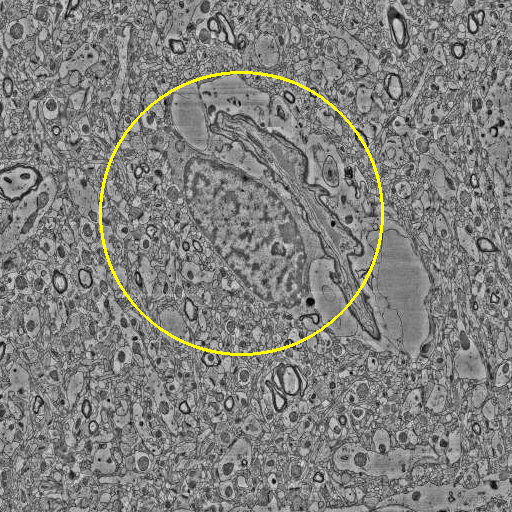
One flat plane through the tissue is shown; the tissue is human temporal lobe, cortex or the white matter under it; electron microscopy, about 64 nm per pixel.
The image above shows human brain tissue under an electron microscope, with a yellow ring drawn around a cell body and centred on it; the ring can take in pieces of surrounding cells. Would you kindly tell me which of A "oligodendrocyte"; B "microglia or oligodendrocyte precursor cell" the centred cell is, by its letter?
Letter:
A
